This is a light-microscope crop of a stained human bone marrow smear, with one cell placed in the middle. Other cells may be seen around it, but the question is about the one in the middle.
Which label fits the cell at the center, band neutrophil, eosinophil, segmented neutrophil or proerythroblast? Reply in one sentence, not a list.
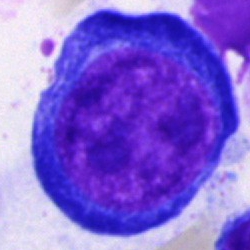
The cell that lies at the centre of the crop is a proerythroblast.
